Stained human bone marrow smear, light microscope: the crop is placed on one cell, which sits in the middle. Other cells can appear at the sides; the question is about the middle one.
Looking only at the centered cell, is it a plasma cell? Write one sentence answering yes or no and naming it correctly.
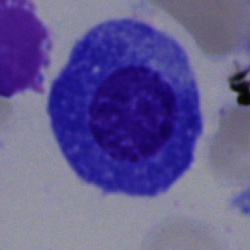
Yes, as regards the cell in the middle, it is a plasma cell.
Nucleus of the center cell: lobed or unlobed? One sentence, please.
The nucleus amounts to one compact mass with a round, oval or kidney-shaped outline.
